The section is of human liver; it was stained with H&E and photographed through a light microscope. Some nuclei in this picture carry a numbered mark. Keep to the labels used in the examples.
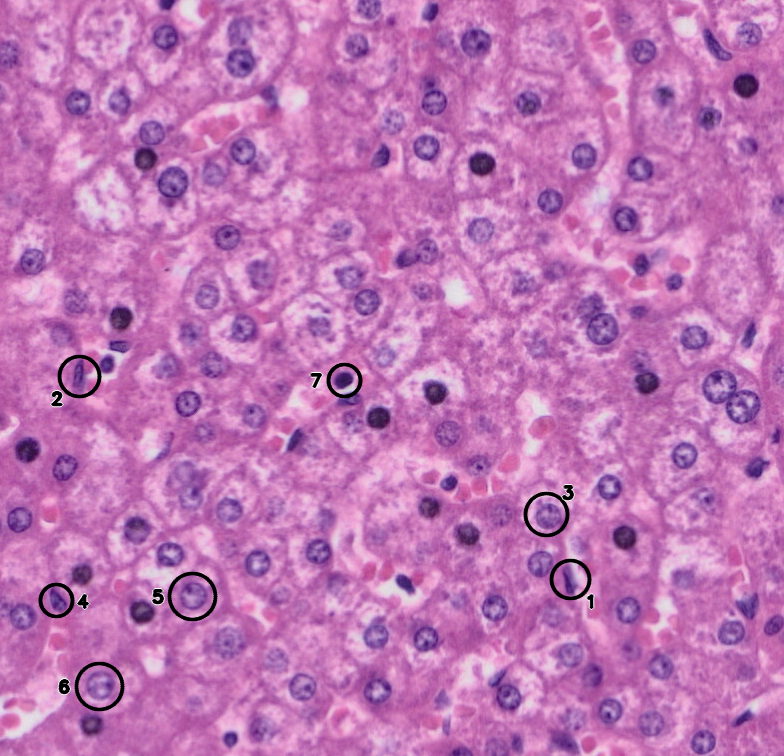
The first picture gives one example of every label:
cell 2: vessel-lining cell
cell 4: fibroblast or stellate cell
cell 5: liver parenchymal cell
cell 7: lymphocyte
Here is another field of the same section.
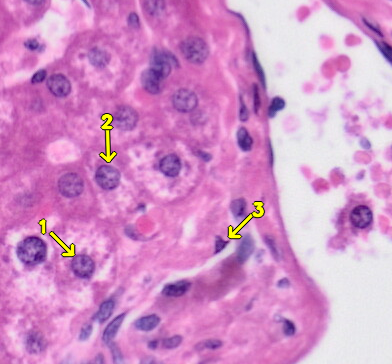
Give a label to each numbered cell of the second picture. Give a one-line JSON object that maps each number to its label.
{"1": "liver parenchymal cell", "2": "liver parenchymal cell", "3": "fibroblast or stellate cell"}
